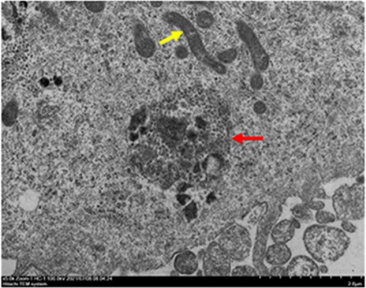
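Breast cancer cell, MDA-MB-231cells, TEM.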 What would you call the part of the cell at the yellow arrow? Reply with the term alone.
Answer: Mitochondria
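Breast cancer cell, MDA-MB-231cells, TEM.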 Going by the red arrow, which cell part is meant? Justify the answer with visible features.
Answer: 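Its contents are heterogeneous, with dense and partly degraded material. The answer: autophagy lysosomes.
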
